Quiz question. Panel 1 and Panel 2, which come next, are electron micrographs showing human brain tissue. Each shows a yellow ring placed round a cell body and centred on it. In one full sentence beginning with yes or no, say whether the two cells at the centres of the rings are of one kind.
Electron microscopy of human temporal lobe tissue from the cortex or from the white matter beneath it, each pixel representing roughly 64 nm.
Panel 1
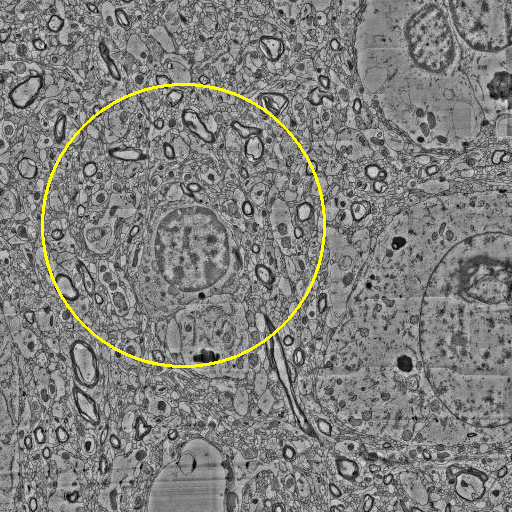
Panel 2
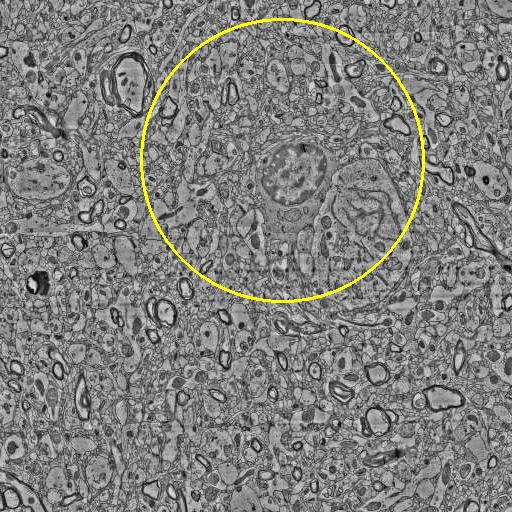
Yes, Panel 1 and Panel 2 show one kind of cell at the centre of the ring.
